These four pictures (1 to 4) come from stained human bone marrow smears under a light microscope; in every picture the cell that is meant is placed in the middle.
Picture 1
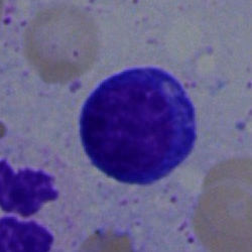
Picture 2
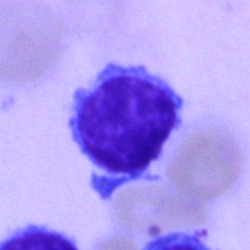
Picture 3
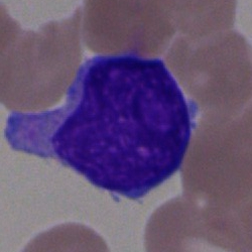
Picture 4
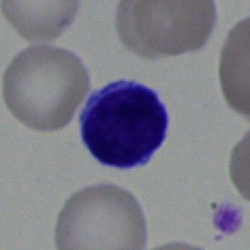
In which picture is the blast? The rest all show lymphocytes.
3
